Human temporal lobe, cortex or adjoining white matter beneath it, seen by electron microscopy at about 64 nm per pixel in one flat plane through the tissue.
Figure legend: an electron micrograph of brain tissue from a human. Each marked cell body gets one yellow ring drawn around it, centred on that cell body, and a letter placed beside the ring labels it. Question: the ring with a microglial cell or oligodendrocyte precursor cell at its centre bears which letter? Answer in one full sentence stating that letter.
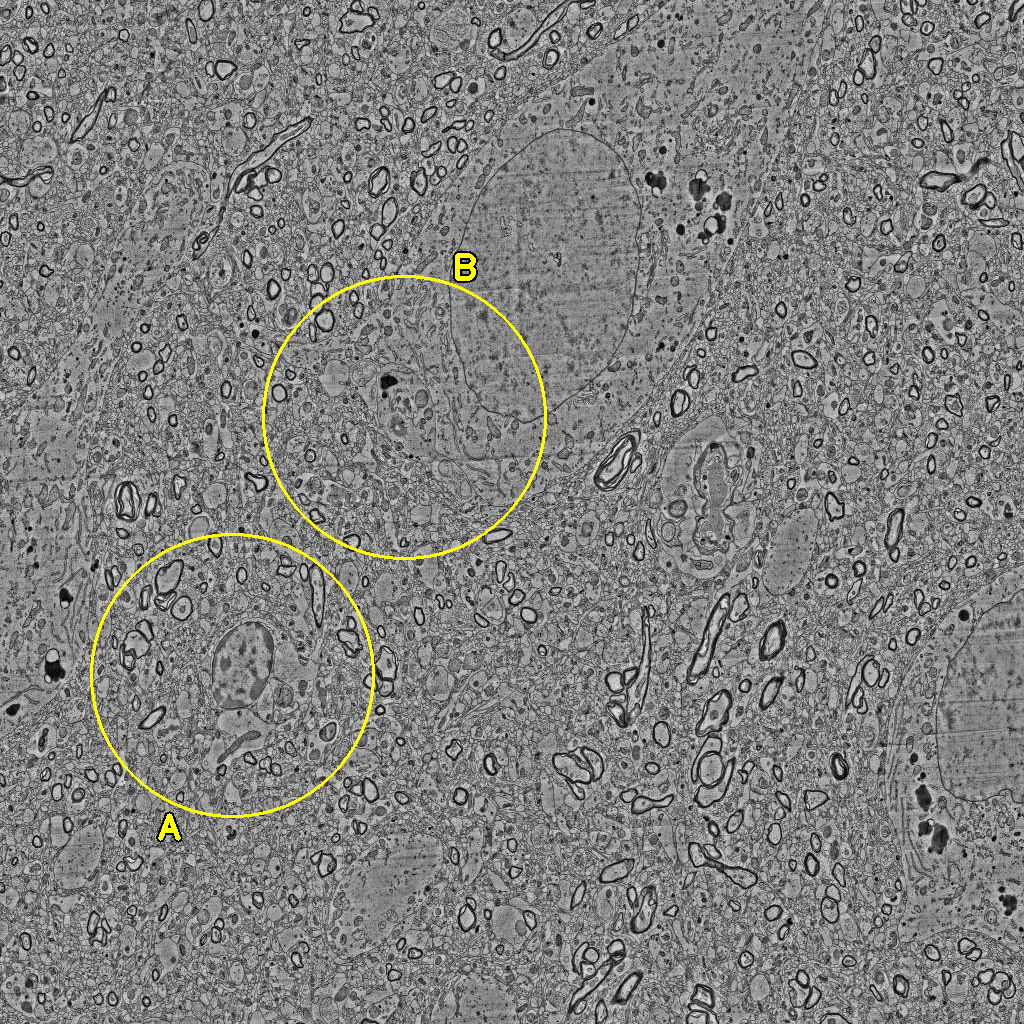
Labelled A is the ring whose centre holds the cell asked for in this picture.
